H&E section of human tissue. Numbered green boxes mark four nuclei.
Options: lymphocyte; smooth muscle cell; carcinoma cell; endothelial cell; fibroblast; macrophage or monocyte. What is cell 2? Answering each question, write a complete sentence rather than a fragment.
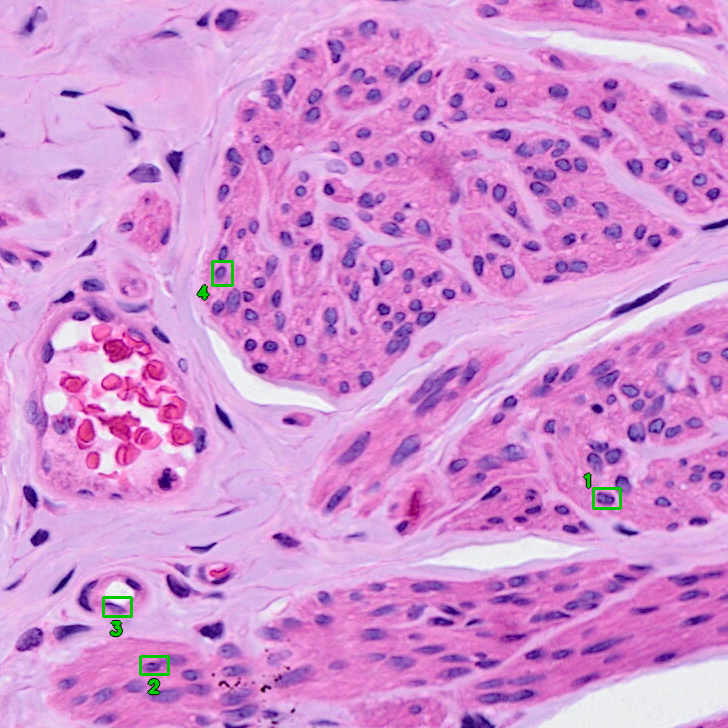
The cell whose nucleus carries the number 2 is a smooth muscle cell.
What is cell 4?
The marked nucleus 4 is that of a smooth muscle cell.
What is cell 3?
Cell 3 in the field is an endothelial cell.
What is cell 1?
The marked nucleus 1 is that of a smooth muscle cell.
